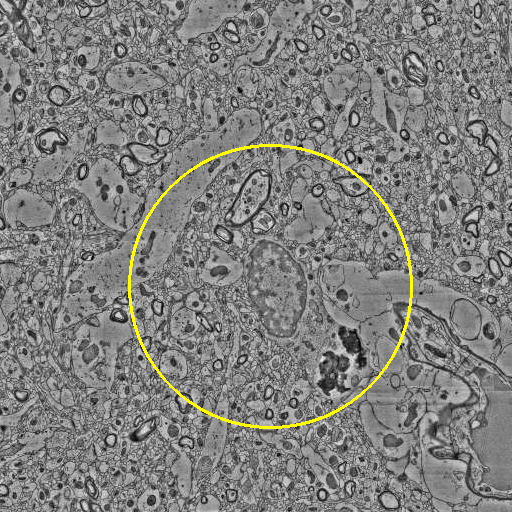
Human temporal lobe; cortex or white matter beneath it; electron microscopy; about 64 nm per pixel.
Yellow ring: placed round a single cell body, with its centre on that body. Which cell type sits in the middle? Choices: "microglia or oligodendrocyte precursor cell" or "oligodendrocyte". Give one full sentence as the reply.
It is an oligodendrocyte whose cell body sits at the centre of the yellow ring.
